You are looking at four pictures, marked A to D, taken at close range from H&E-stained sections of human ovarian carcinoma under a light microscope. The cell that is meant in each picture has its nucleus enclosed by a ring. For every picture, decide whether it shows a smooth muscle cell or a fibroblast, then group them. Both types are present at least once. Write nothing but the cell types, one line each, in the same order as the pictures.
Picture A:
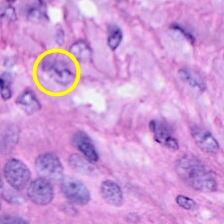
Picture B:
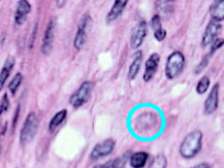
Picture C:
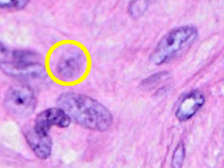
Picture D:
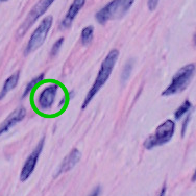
fibroblast
fibroblast
fibroblast
smooth muscle cell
